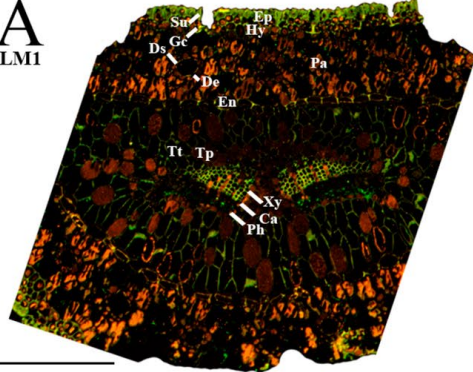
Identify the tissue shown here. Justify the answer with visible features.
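A cross-section with an outer epidermis and thick-walled hypodermis. A ring of cells encloses a central region holding two vascular bundles.
Needles.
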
